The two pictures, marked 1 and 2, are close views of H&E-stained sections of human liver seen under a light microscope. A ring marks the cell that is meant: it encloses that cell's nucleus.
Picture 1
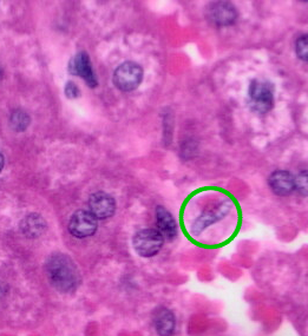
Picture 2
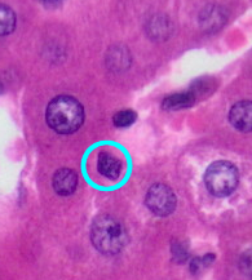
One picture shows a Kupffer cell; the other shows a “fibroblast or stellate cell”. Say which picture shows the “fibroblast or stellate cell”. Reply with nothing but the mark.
2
